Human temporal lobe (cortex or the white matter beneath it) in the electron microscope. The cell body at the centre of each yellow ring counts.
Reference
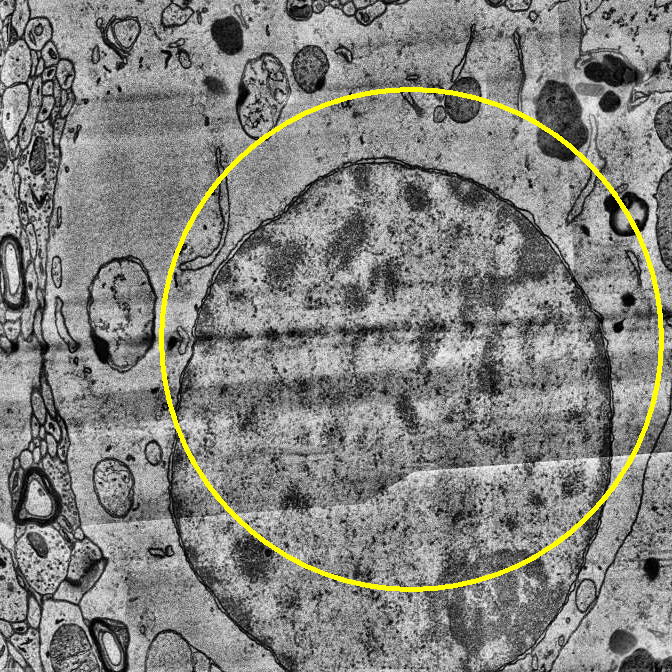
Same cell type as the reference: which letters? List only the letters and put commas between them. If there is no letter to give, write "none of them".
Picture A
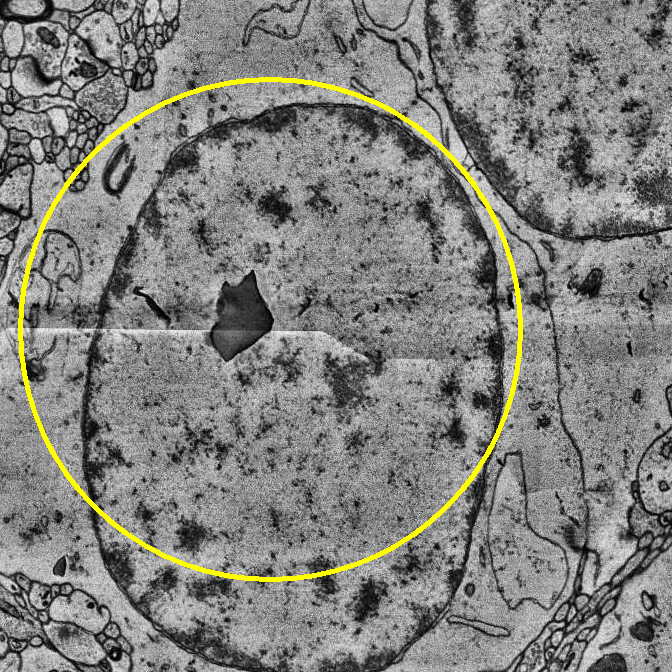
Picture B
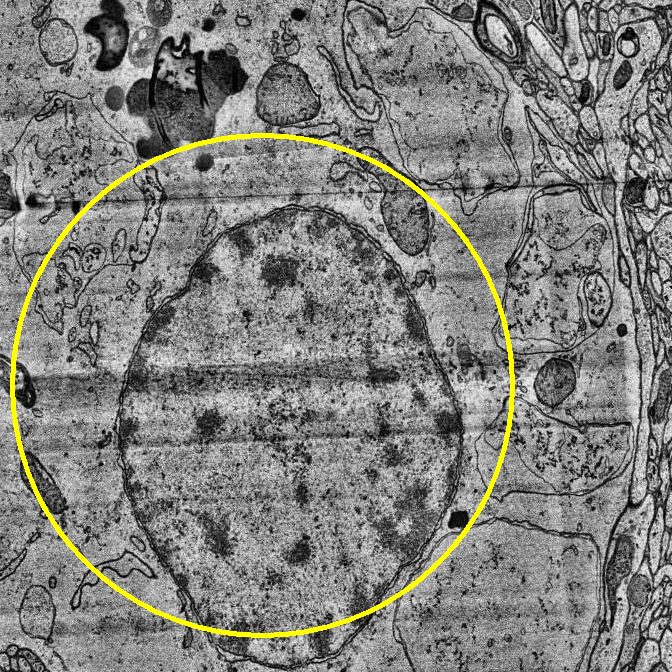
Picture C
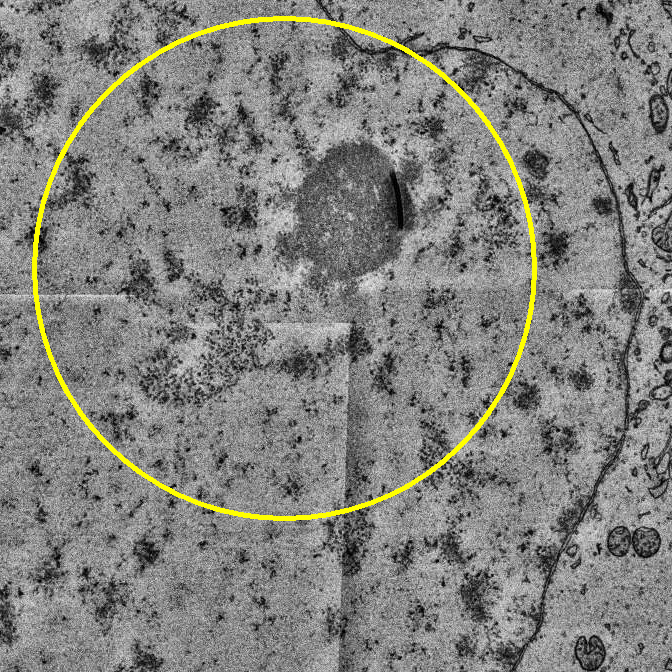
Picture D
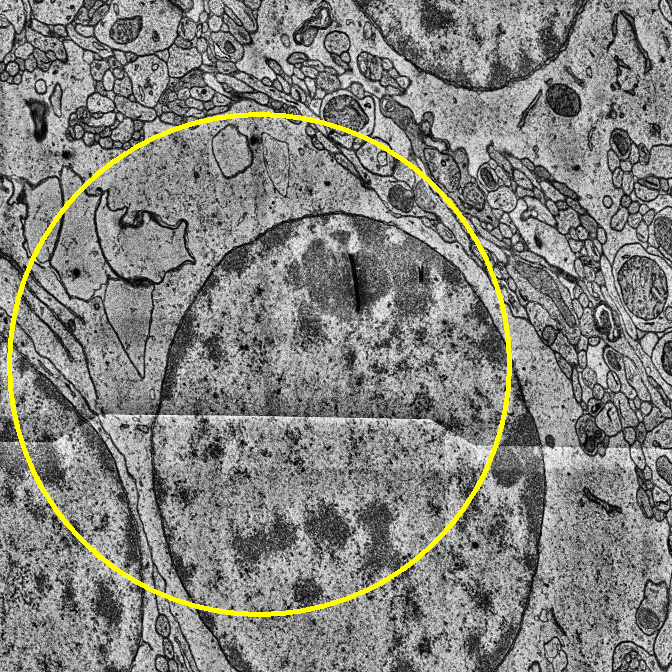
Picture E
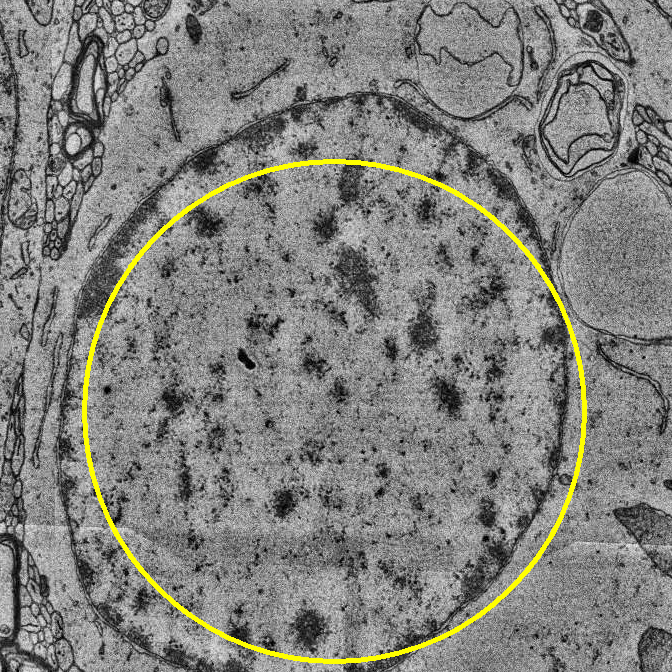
A, B, D, E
